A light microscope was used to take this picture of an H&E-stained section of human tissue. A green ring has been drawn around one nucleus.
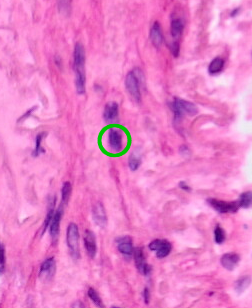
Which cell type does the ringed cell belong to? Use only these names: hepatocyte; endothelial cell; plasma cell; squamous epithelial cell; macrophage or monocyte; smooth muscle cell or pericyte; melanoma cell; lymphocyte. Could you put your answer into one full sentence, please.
As a matter of cell type, the ringed cell is a smooth muscle cell or pericyte.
